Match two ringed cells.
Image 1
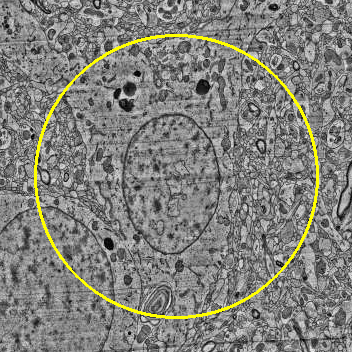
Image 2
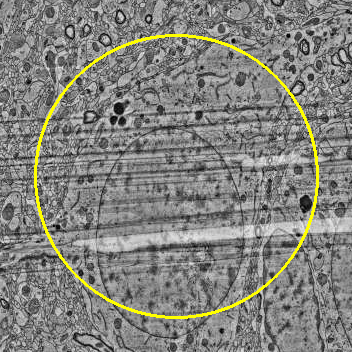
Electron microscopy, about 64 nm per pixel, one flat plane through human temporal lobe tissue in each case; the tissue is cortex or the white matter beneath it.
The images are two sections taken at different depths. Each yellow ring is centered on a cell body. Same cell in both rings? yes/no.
no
